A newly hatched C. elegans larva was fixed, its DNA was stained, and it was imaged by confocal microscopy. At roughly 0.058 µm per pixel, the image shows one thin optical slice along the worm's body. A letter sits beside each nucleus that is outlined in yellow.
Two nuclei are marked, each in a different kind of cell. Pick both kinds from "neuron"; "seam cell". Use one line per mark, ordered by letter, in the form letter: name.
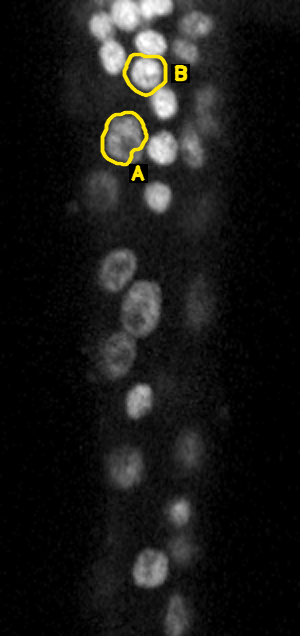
A: seam cell
B: neuron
